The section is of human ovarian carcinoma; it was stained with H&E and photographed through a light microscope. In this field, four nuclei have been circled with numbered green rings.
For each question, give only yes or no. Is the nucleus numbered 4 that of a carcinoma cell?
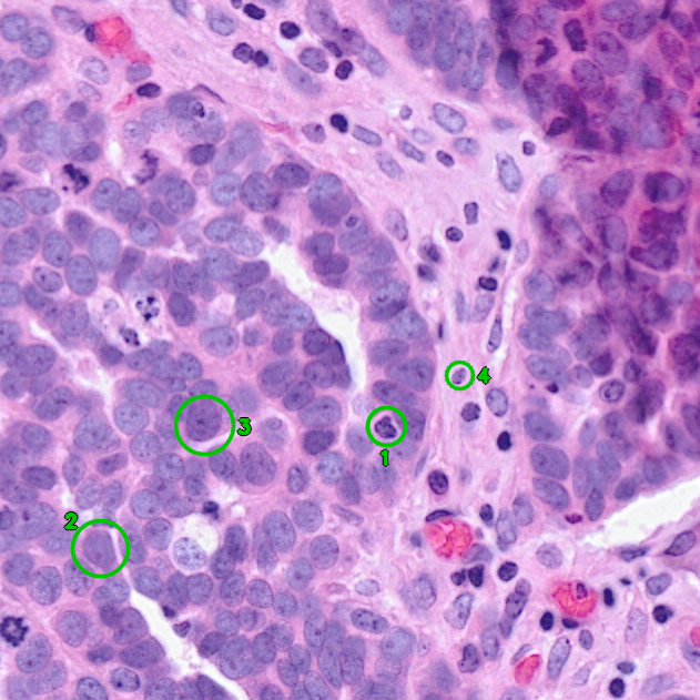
no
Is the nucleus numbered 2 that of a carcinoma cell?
yes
